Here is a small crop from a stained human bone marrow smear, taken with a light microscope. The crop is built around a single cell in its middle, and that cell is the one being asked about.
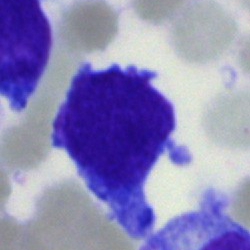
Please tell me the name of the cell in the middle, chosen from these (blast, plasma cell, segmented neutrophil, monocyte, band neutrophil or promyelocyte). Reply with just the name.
blast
